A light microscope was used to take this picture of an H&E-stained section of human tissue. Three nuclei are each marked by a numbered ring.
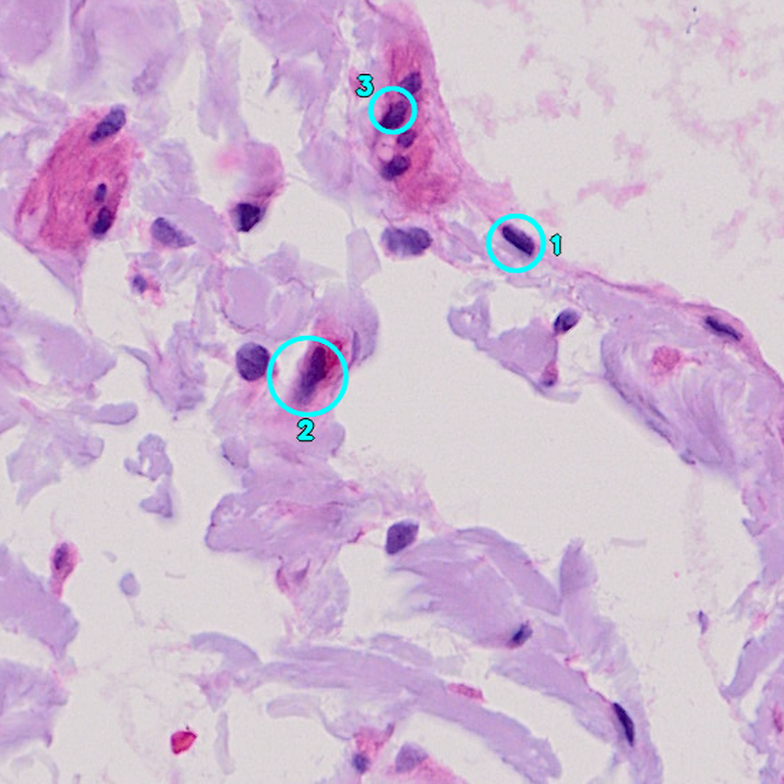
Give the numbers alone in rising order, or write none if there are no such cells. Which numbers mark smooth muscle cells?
3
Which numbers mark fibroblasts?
1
